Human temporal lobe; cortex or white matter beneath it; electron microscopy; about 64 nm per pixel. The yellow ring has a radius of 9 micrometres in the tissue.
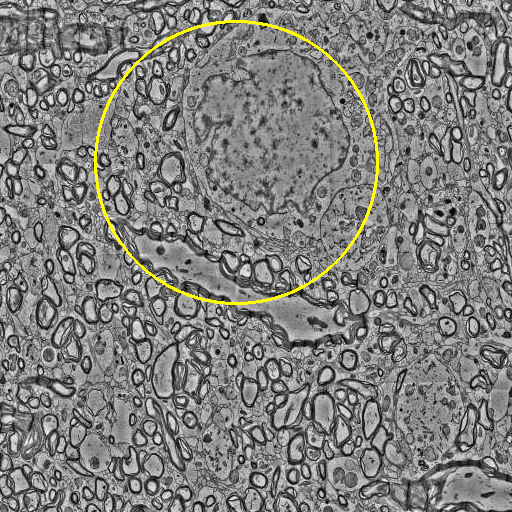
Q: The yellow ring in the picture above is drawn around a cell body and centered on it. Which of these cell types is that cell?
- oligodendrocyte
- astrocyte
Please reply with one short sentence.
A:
The cell body at the ring's center belongs to an oligodendrocyte.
